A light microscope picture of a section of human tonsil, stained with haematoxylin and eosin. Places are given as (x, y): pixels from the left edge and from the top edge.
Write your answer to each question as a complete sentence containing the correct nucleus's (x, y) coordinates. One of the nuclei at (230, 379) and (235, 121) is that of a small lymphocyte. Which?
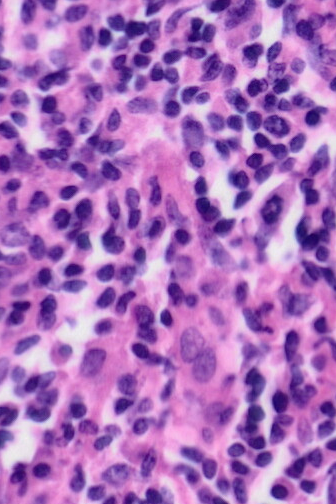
It is the nucleus at (235, 121) that forms part of a small lymphocyte.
